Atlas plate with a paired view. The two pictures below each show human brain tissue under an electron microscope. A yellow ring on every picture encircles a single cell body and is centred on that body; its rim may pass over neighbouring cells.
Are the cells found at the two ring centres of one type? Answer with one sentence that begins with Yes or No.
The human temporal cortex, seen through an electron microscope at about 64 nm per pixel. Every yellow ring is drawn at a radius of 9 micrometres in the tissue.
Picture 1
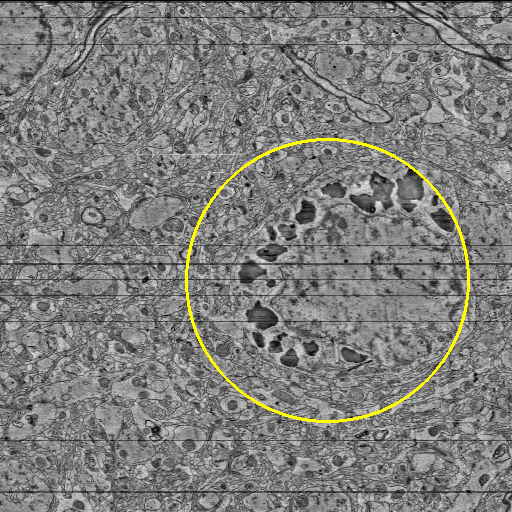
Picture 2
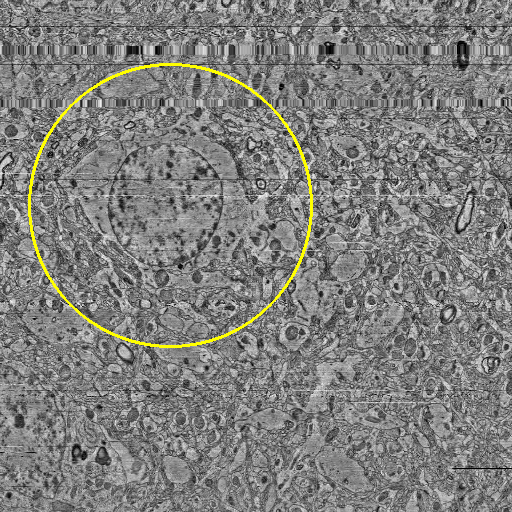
No, the two cells lying at the centres of the rings are of two types.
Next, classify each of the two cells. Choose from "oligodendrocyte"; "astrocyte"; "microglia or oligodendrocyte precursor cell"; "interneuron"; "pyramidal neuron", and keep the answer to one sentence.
In the first picture it is an interneuron; in the second it is an astrocyte.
